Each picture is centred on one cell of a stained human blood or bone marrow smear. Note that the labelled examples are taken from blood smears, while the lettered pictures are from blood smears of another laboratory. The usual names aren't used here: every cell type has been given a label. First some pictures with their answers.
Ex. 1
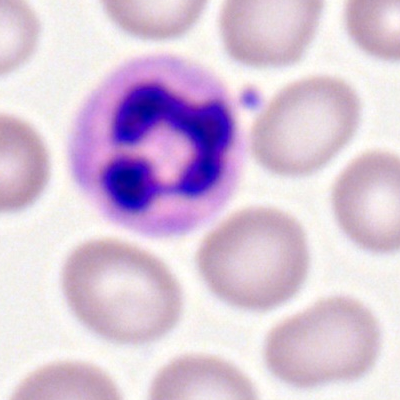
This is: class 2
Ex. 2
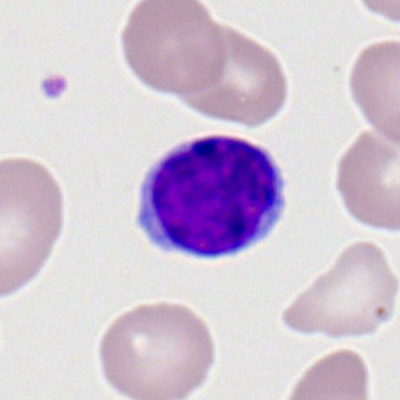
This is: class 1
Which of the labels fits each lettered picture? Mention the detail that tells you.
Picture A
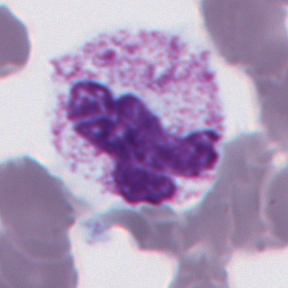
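class 2. Evidence: The nucleus is divided into several irregular lobes joined together.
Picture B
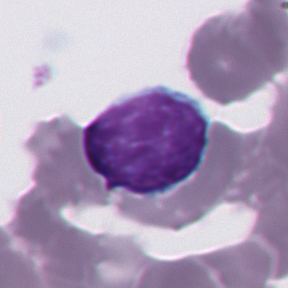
class 1. Evidence: The cytoplasm is only a very thin rim around the nucleus.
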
